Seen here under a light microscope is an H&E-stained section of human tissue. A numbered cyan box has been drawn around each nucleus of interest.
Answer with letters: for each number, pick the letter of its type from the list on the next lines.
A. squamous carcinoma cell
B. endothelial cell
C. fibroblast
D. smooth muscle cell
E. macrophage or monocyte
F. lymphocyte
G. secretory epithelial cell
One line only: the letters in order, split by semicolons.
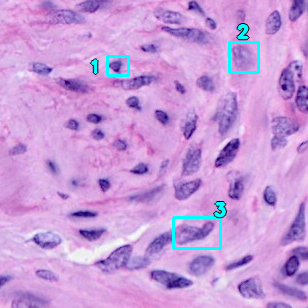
D; D; C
